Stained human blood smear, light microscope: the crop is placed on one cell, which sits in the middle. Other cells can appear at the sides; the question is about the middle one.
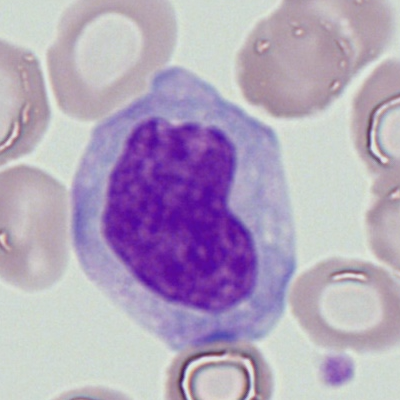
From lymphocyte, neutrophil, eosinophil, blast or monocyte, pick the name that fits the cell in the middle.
monocyte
